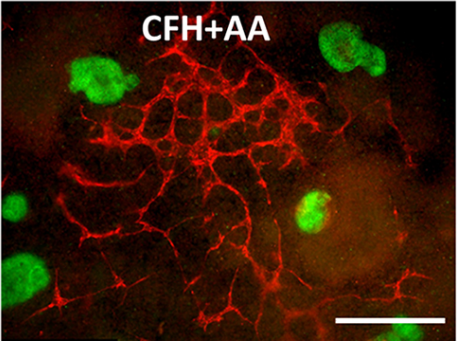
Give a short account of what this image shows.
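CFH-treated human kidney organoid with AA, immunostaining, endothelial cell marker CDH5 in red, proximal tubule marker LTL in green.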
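The red strands are thin, branch repeatedly and join one another, enclosing small polygonal spaces so that the whole resembles a primitive capillary plexus spread over the tissue. The green structures are compact, rounded or oval profiles, some with a slightly mottled surface, scattered around and beside the network rather than within it. The background tissue glows faintly orange-brown without distinct cell outlines.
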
